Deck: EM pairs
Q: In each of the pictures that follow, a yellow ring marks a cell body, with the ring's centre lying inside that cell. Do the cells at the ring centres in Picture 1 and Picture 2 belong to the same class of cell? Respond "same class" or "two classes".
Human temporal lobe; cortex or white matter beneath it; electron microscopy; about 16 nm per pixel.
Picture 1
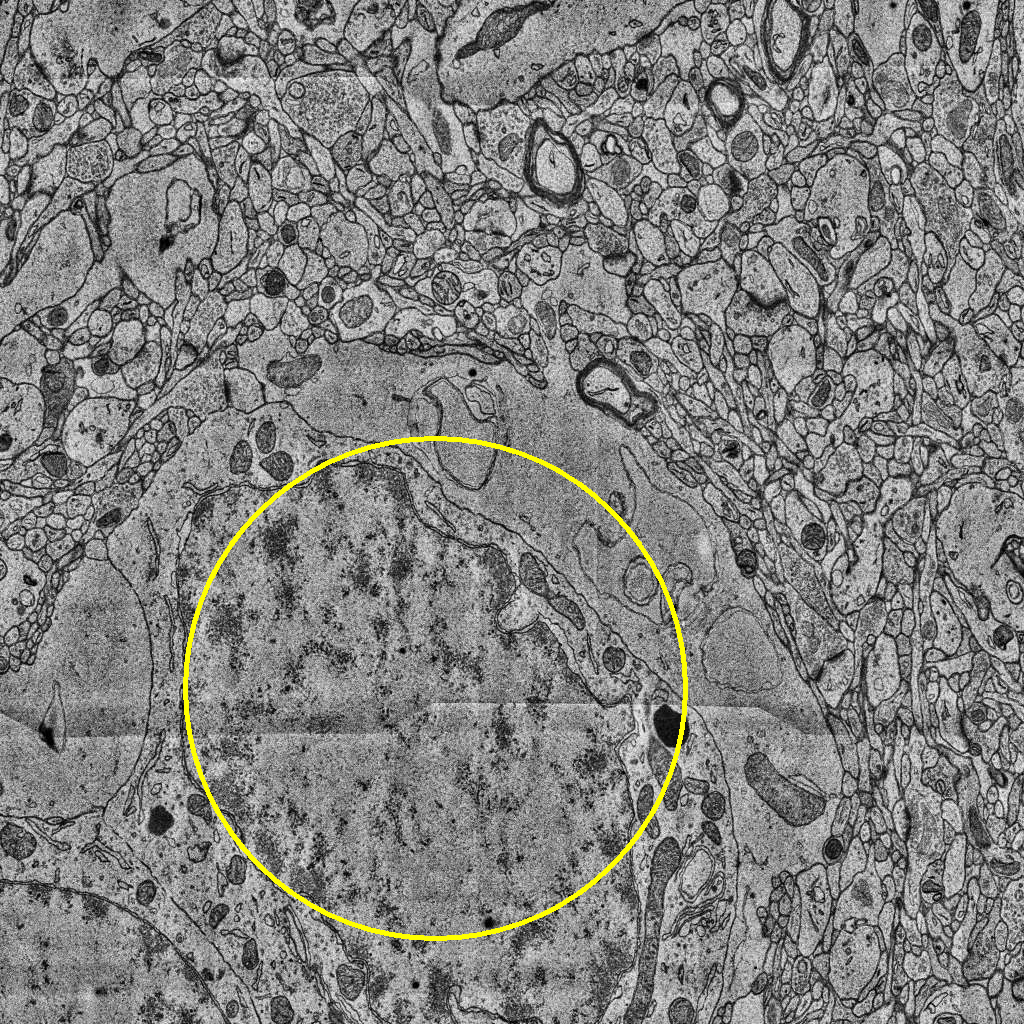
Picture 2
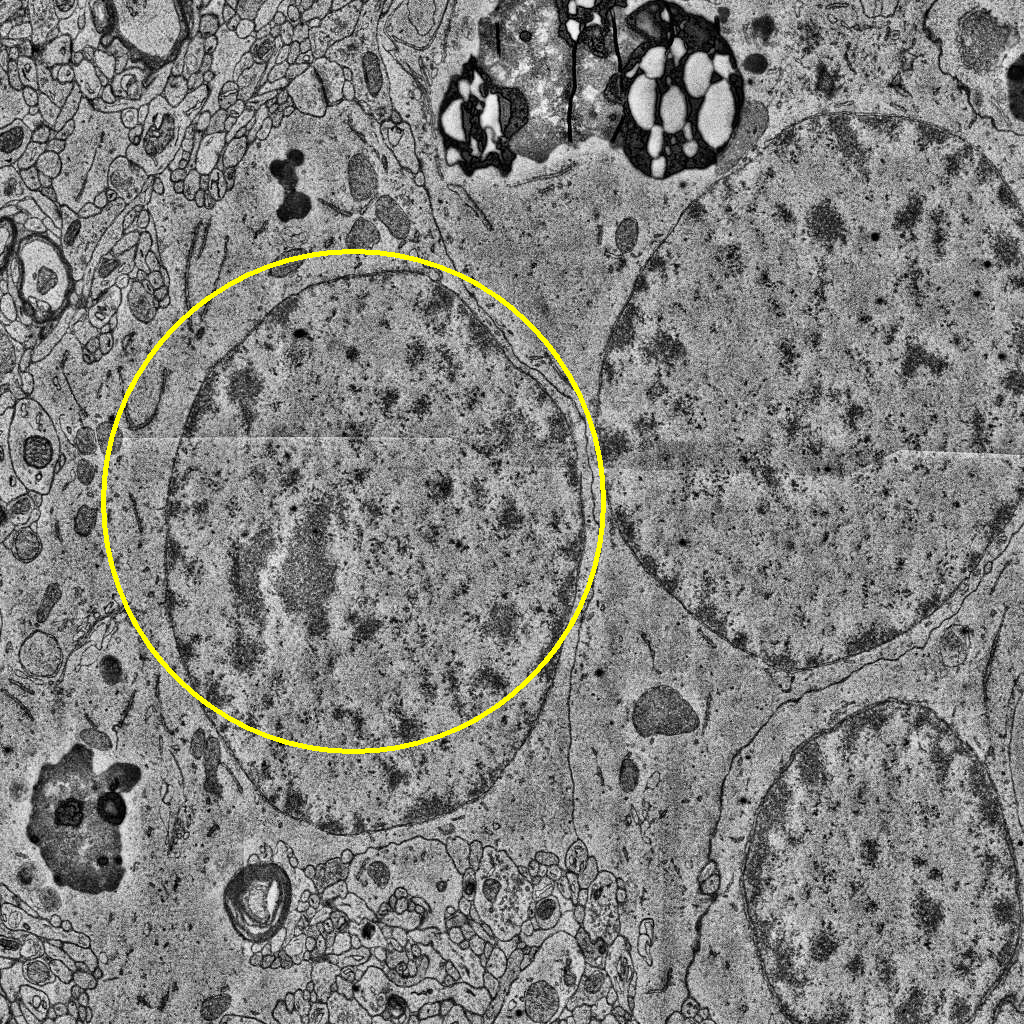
two classes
